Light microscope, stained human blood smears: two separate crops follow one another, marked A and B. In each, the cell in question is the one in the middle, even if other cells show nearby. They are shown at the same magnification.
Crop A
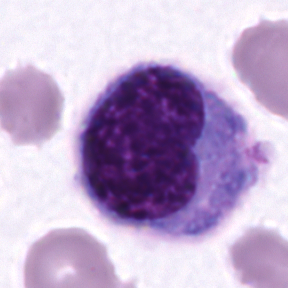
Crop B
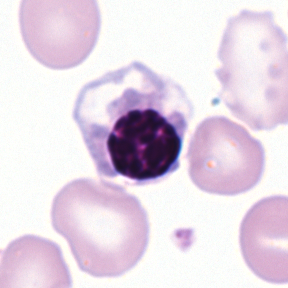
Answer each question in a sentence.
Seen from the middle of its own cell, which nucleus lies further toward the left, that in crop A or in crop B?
It is the nucleus in crop A that lies further toward the left of its cell.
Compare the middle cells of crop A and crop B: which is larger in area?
It is the cell in crop A, about 3 times as large in area as the cell in crop B.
